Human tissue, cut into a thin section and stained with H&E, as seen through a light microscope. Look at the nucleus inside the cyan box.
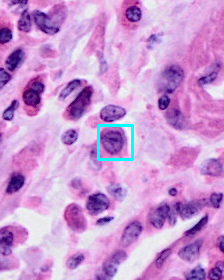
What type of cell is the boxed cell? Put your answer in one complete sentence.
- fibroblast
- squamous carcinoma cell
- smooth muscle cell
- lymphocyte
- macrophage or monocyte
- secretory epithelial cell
For the purposes of cell typing, the boxed cell is categorized as a macrophage or monocyte.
